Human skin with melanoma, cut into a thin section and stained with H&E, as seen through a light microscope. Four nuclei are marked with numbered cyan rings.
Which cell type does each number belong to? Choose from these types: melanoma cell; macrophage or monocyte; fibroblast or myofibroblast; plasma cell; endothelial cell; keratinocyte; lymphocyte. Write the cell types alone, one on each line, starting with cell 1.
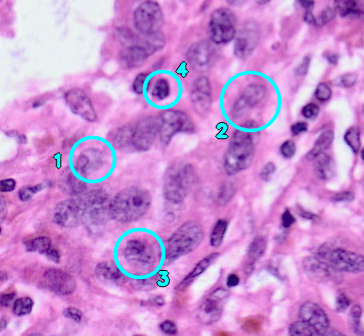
melanoma cell
melanoma cell
melanoma cell
lymphocyte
